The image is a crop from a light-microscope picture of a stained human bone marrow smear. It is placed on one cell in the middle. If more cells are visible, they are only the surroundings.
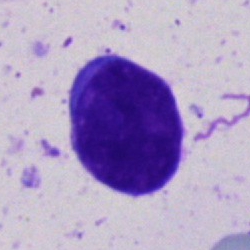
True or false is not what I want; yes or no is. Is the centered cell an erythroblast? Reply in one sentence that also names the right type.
No, what sits in the centre of the crop is a blast rather than an erythroblast.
